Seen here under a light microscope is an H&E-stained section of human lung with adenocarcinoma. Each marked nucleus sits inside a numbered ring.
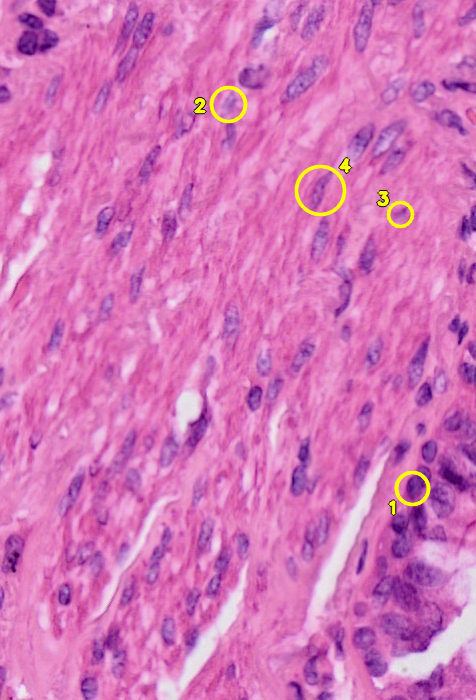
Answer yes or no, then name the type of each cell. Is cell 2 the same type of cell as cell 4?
Yes, both are smooth muscle cells or pericytes.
